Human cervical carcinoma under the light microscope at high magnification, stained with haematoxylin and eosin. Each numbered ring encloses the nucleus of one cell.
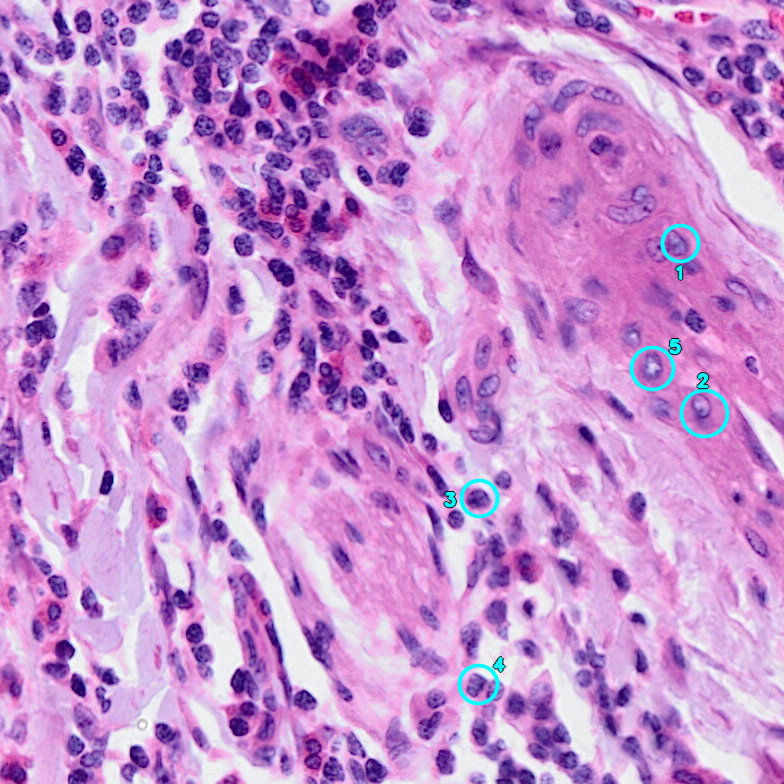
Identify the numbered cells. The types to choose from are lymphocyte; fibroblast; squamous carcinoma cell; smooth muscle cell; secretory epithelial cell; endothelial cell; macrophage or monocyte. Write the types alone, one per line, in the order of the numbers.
smooth muscle cell
smooth muscle cell
lymphocyte
lymphocyte
smooth muscle cell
